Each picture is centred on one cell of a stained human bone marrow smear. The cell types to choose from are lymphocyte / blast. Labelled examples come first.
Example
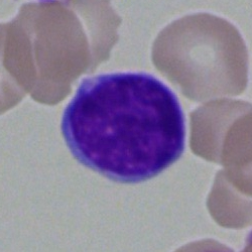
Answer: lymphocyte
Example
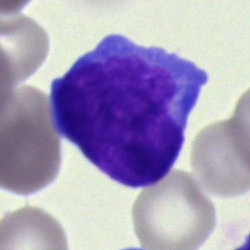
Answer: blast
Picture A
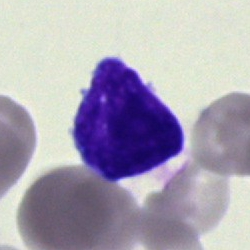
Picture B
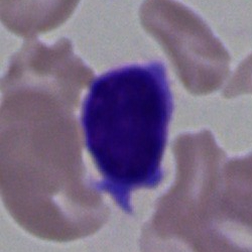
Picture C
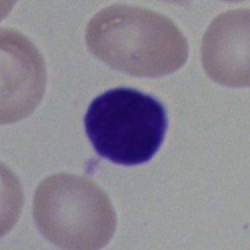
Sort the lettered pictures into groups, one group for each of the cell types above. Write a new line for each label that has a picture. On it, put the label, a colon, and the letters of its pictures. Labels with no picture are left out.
lymphocyte: A, B, C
